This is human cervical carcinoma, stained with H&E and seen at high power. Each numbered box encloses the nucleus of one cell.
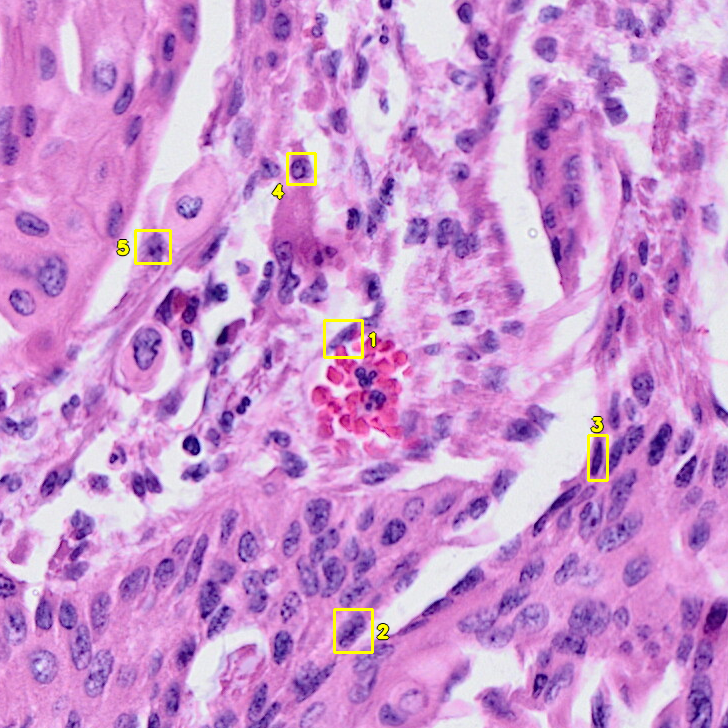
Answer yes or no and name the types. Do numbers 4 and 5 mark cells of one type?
Yes, in short, cells 4 and 5 are both macrophages or monocytes.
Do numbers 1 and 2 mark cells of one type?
No, the cell numbered 1 is an endothelial cell and the cell numbered 2 is a squamous carcinoma cell.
